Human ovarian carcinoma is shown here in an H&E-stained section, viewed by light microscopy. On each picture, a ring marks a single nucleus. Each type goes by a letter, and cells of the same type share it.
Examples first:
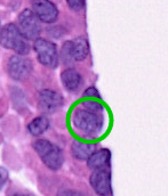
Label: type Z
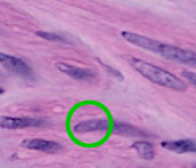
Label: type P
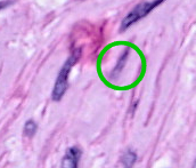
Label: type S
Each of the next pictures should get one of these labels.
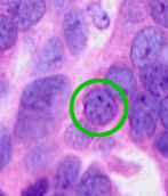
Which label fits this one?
type Z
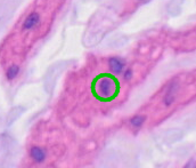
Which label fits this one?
type P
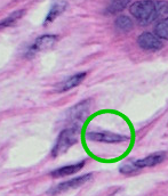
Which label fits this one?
type S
